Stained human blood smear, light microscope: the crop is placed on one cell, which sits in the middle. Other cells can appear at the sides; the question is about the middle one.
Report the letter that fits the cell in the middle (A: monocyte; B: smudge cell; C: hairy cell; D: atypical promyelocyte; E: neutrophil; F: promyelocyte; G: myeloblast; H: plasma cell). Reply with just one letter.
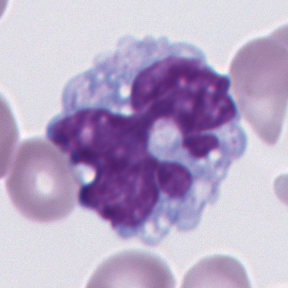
A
